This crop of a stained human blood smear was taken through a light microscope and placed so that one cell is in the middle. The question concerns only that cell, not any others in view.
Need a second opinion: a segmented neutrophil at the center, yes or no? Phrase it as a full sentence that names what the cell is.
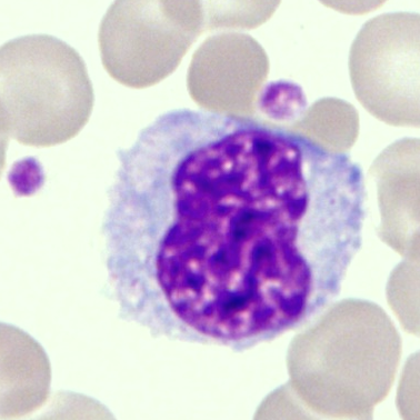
No, what is centred in the crop is not a segmented neutrophil but a monocyte.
